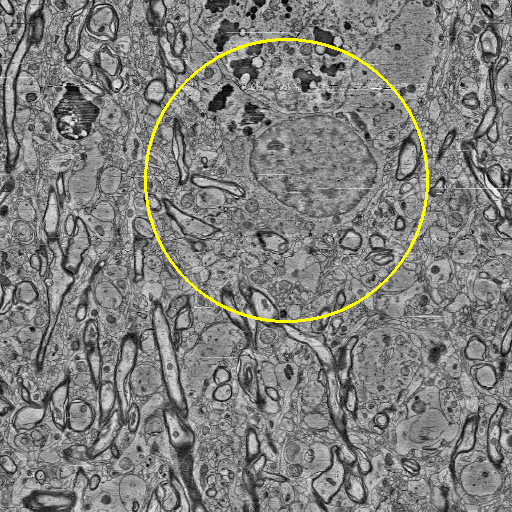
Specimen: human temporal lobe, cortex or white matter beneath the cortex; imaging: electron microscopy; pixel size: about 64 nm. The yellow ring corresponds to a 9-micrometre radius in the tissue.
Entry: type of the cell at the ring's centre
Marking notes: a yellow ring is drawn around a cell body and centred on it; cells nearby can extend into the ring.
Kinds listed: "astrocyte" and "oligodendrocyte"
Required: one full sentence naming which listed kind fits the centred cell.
My entry names an oligodendrocyte as the cell whose body the yellow ring centres on.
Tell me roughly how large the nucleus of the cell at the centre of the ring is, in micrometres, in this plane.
About 8 micrometres across in this plane.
